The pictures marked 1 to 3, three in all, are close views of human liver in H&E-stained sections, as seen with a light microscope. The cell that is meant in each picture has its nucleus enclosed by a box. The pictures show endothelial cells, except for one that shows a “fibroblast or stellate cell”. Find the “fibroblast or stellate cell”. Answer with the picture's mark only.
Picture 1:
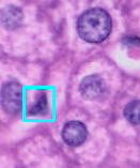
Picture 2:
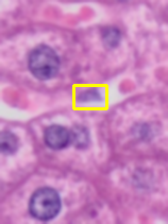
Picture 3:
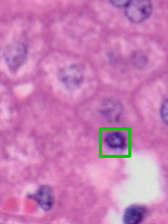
3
